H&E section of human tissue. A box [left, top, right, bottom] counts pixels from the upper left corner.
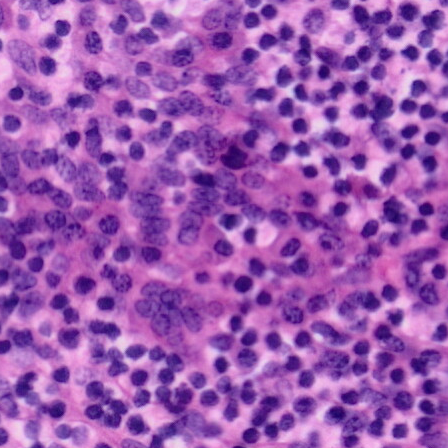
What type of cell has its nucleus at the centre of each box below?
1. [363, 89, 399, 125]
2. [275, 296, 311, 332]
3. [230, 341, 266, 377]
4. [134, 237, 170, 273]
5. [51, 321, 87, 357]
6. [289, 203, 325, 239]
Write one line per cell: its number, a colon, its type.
1: proliferating B cell
2: plasma cell
3: plasma cell
4: plasma cell
5: proliferating B cell
6: plasma cell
